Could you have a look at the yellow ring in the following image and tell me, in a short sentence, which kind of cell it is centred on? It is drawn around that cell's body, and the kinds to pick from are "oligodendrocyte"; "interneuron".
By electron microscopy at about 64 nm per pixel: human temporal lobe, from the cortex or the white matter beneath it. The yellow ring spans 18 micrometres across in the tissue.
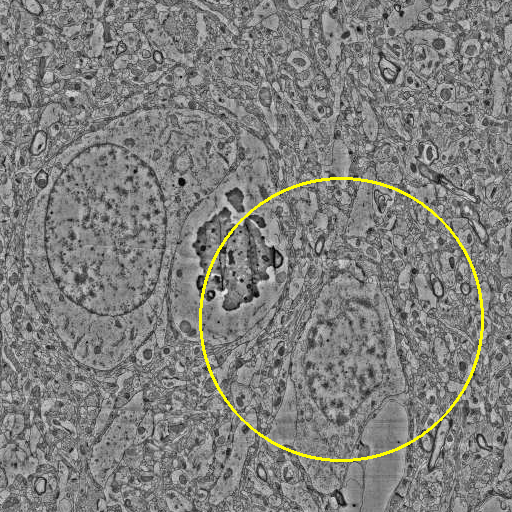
The ring is centred on the body of an interneuron.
